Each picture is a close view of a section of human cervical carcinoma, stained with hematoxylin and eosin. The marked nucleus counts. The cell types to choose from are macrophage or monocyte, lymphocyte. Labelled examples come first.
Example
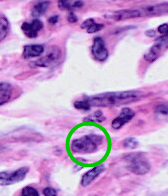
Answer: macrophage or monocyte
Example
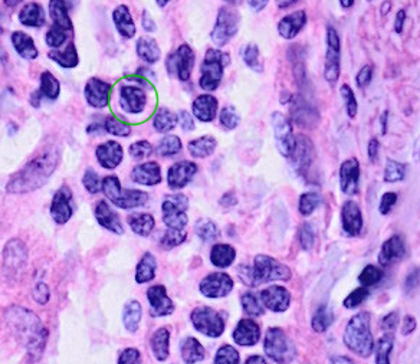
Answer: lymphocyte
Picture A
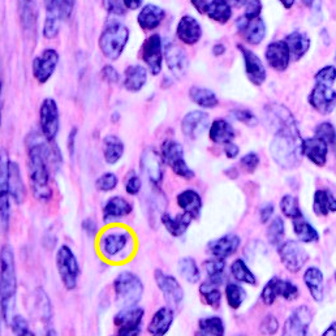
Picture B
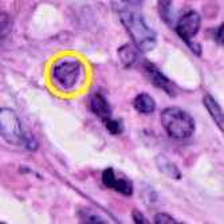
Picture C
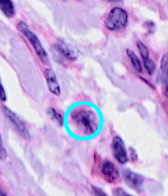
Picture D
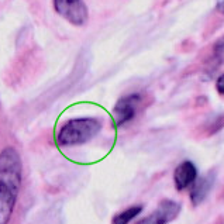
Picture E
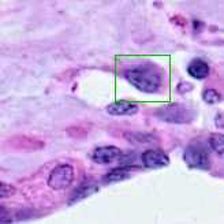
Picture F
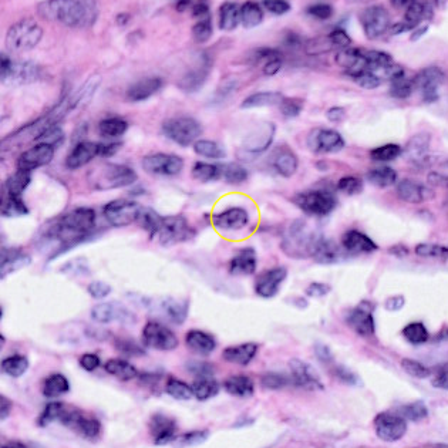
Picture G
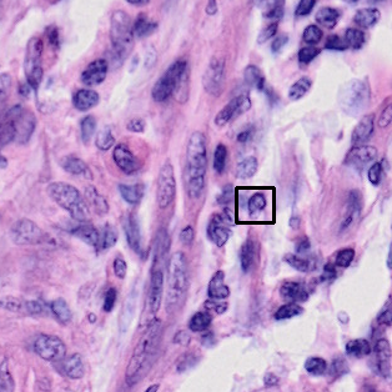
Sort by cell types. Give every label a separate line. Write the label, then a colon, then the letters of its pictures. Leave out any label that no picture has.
macrophage or monocyte: B, C, D, E
lymphocyte: A, F, G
